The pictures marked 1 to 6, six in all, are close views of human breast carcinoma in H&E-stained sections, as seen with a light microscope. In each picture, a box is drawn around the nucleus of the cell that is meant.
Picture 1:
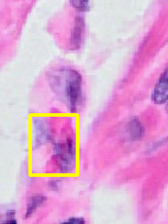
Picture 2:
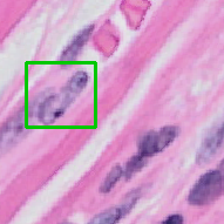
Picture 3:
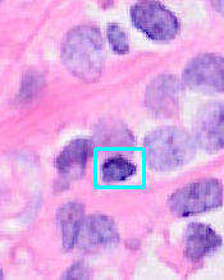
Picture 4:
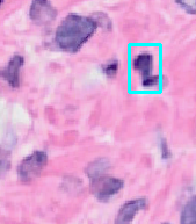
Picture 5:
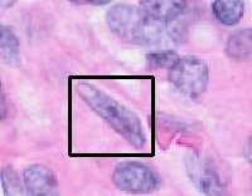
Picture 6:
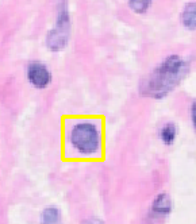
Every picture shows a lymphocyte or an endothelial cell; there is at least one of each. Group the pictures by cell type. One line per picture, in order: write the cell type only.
endothelial cell
endothelial cell
lymphocyte
lymphocyte
endothelial cell
lymphocyte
